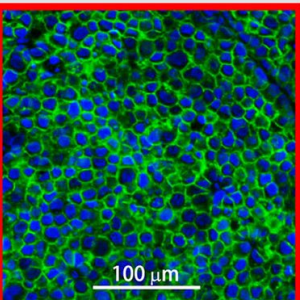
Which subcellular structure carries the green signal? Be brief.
Plasma membranes.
